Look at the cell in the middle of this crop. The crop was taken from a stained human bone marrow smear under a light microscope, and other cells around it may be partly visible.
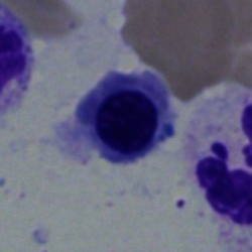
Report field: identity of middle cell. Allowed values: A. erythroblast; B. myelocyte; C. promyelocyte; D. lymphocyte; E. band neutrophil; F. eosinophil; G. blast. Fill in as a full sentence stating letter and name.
Option A is correct, naming the cell in the middle as an erythroblast.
